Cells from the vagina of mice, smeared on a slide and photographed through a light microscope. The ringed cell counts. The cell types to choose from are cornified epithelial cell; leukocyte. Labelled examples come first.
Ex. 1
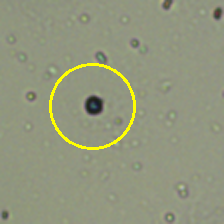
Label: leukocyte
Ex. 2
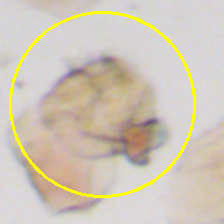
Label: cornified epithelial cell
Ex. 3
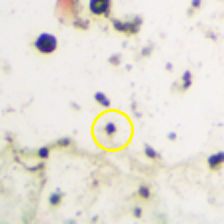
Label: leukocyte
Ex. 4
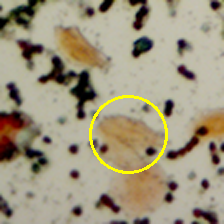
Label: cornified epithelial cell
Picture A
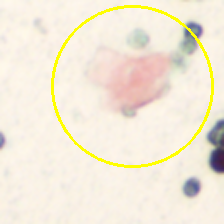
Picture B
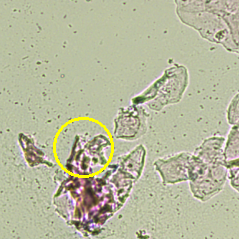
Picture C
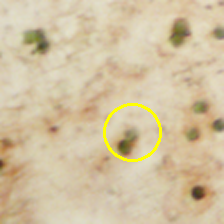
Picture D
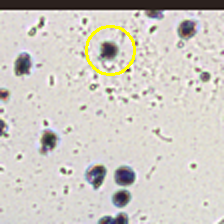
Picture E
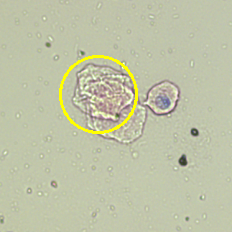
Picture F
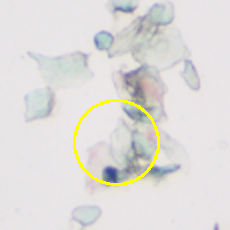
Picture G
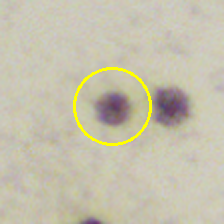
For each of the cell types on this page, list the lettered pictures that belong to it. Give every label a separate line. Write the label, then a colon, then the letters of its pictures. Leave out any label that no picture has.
cornified epithelial cell: A, B, E, F
leukocyte: C, D, G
